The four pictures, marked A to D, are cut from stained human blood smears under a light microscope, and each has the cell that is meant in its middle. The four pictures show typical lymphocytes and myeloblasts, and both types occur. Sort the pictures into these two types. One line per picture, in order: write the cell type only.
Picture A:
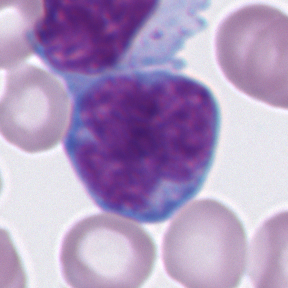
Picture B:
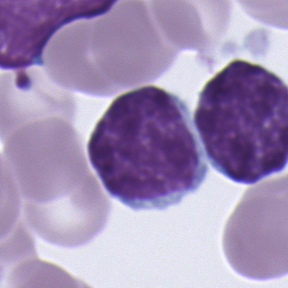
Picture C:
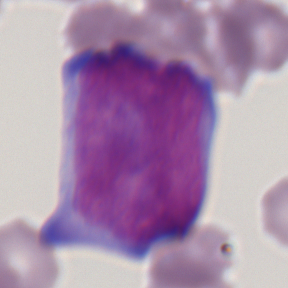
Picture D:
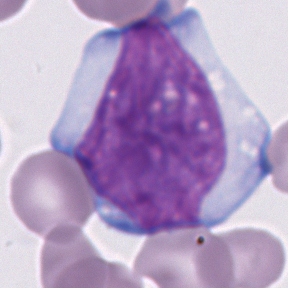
myeloblast
typical lymphocyte
myeloblast
myeloblast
